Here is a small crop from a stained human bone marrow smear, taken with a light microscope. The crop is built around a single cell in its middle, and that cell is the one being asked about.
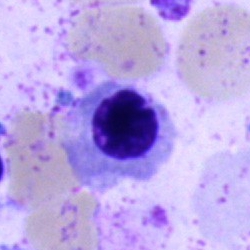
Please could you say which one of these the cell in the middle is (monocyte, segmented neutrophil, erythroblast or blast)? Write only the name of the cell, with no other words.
erythroblast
